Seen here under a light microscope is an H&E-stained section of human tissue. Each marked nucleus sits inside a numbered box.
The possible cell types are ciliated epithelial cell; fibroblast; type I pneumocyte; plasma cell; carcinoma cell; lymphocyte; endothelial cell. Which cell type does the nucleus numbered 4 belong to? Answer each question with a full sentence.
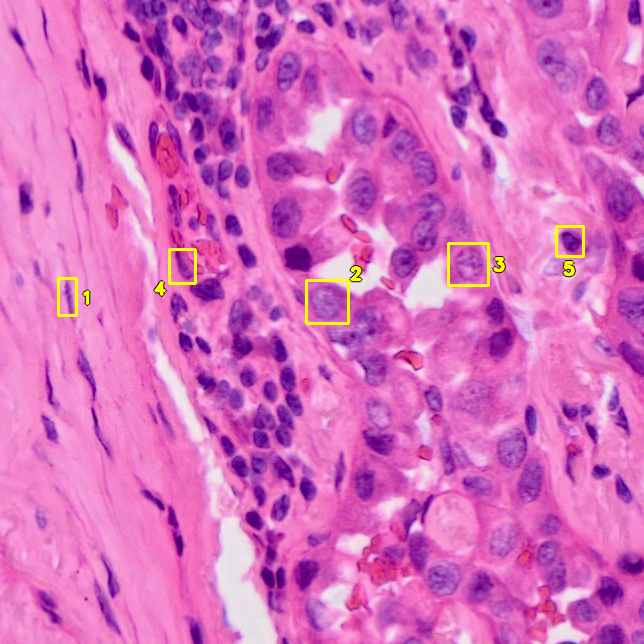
In the marked set, the cell given number 4 is an endothelial cell.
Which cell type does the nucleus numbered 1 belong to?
As for number 1, that cell is a fibroblast.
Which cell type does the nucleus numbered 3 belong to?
Cell 3, among those numbered, is a carcinoma cell.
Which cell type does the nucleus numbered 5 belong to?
Cell 5 is classified as a plasma cell.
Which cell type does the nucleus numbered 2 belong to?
The nucleus marked 2 is the nucleus of a carcinoma cell.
